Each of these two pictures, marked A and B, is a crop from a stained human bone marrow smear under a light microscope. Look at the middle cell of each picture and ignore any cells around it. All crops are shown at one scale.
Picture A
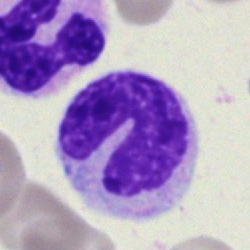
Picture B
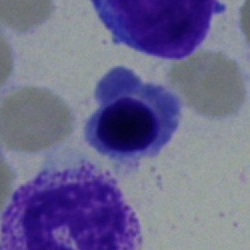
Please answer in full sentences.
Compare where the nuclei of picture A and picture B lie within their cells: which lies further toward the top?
In picture A the nucleus is shifted more toward the top.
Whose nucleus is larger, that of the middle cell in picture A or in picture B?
The nucleus in picture A is larger, with about 4 times the area of the one in picture B.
